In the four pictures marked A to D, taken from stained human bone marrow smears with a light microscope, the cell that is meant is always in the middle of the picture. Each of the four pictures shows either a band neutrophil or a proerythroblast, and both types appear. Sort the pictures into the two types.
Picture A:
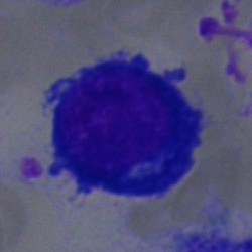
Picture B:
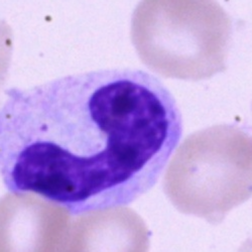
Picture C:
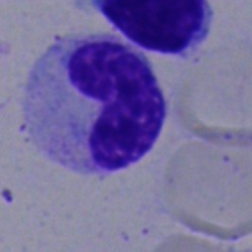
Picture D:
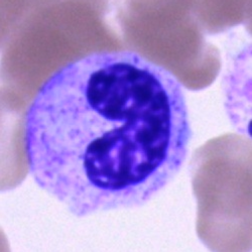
A: proerythroblast
B: band neutrophil
C: band neutrophil
D: band neutrophil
